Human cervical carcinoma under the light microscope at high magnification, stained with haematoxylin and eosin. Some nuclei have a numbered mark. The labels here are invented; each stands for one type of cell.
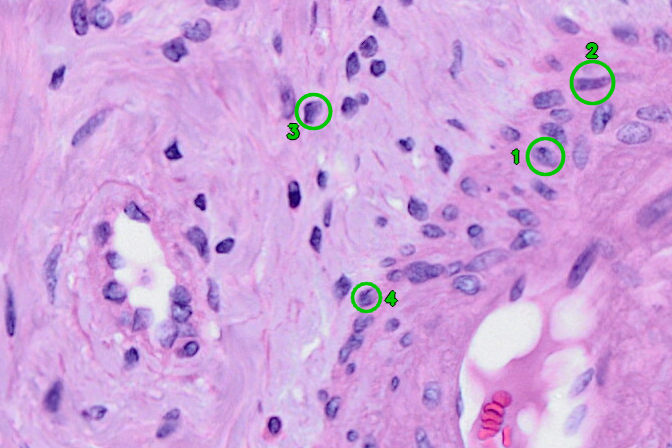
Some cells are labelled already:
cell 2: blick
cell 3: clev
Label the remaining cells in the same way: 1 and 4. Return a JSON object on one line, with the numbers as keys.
{"1": "blick", "4": "blick"}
